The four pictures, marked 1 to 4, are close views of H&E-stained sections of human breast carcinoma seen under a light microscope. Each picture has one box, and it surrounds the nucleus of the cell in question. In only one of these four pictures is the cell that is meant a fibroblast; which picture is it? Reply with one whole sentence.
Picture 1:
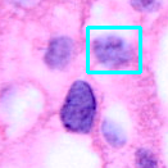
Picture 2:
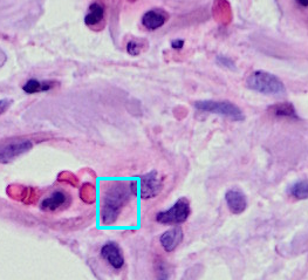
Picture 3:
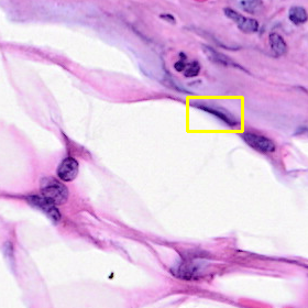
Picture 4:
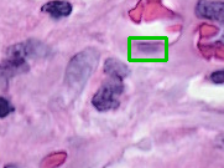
Picture 3 is the one that shows the fibroblast.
